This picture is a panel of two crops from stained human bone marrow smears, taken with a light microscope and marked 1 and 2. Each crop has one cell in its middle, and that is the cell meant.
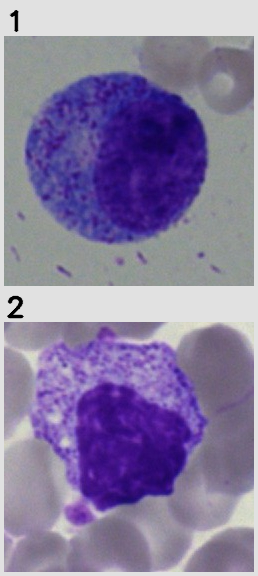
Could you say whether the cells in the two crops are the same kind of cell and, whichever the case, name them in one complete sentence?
Yes, the cells that both crops show at the centre are myelocytes.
